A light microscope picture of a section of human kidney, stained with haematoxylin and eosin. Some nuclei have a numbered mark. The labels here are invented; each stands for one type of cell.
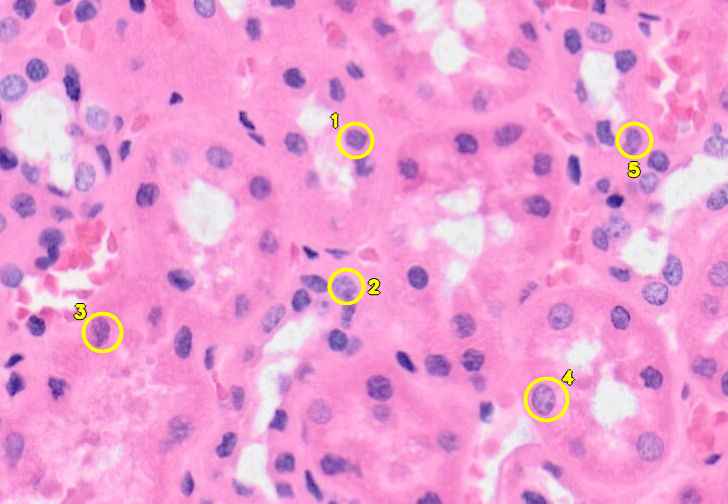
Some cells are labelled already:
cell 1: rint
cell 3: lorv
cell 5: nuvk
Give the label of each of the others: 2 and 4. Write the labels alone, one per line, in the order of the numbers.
nuvk
lorv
